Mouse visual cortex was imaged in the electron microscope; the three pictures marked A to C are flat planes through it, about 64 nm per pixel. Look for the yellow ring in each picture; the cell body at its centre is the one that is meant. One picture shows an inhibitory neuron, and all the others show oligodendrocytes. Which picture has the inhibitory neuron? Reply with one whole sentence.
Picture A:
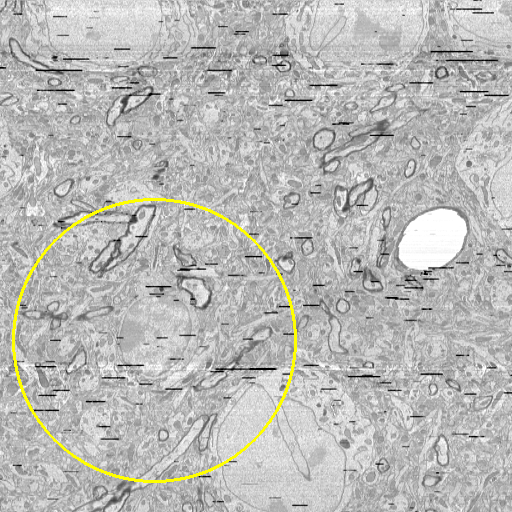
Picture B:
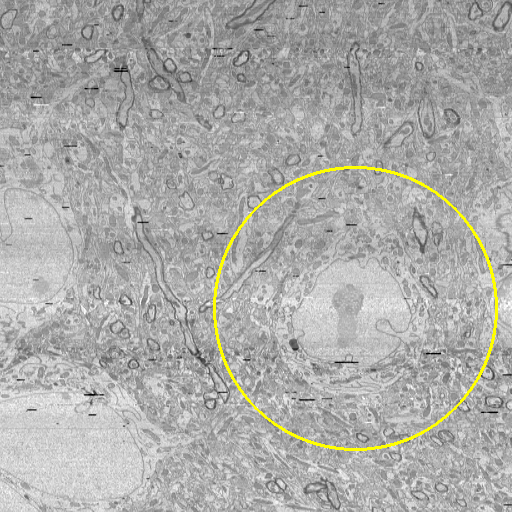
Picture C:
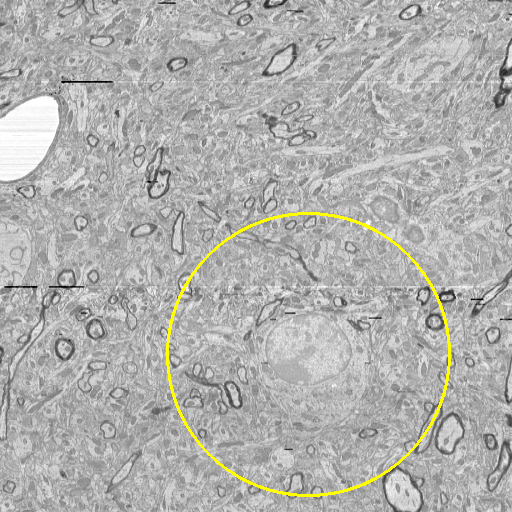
It is picture B that shows the inhibitory neuron.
